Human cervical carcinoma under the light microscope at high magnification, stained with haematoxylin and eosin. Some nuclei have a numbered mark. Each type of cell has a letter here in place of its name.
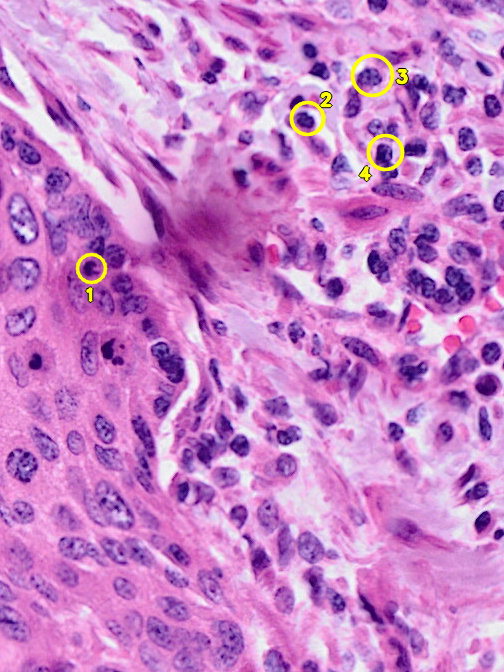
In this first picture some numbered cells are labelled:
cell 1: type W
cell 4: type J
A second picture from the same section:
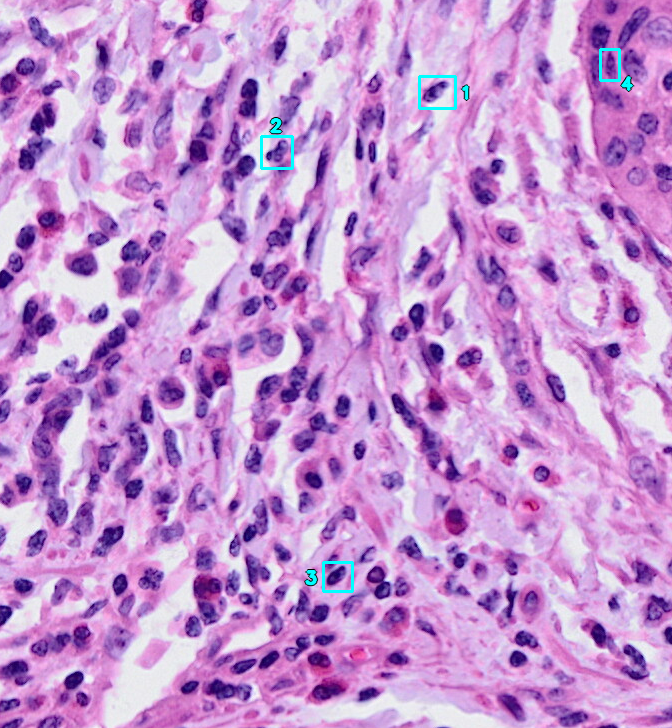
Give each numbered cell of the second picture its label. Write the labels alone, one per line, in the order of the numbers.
type J
type J
type J
type W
